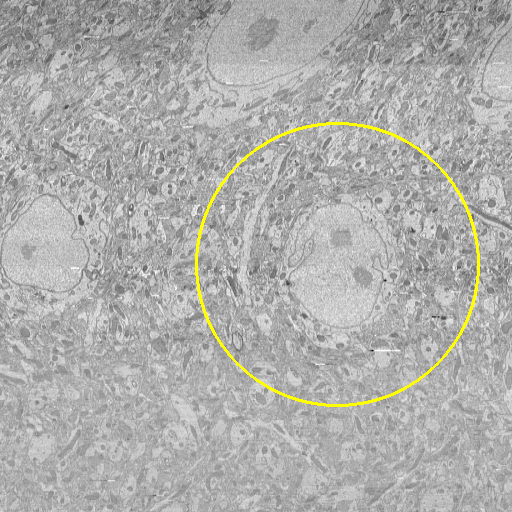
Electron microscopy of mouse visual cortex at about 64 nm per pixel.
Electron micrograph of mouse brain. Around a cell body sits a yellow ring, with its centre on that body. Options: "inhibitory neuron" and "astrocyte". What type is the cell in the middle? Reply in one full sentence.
The cell sitting at the centre of the yellow ring is an inhibitory neuron.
